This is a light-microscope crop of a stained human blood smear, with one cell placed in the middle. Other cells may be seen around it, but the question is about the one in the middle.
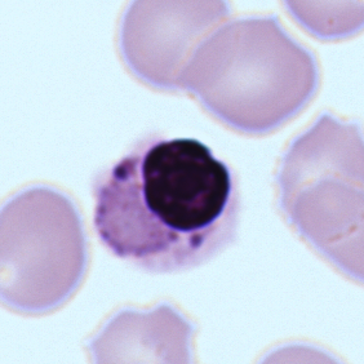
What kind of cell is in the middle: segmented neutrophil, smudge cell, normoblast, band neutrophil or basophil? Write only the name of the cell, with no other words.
normoblast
